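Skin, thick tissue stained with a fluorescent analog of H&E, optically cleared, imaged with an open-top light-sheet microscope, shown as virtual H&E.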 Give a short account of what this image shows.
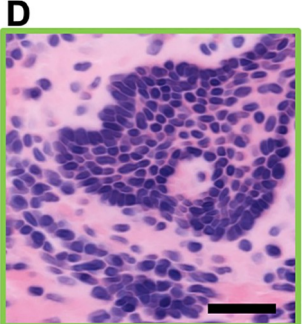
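This shows epithelial cells of the basal layer of the epidermis. A compact nest of small cells with crowded, dark purple, oval nuclei and very little cytoplasm forms a curved band, packed tightly with nuclei nearly touching. Near its center lies a small pale rounded area. Around the nest is pink connective tissue with scattered, more widely spaced, elongated nuclei. The sharp contrast between the densely cellular, dark-staining epithelial nest and the loose pink stroma beside it marks the border between epidermis and underlying dermis.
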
